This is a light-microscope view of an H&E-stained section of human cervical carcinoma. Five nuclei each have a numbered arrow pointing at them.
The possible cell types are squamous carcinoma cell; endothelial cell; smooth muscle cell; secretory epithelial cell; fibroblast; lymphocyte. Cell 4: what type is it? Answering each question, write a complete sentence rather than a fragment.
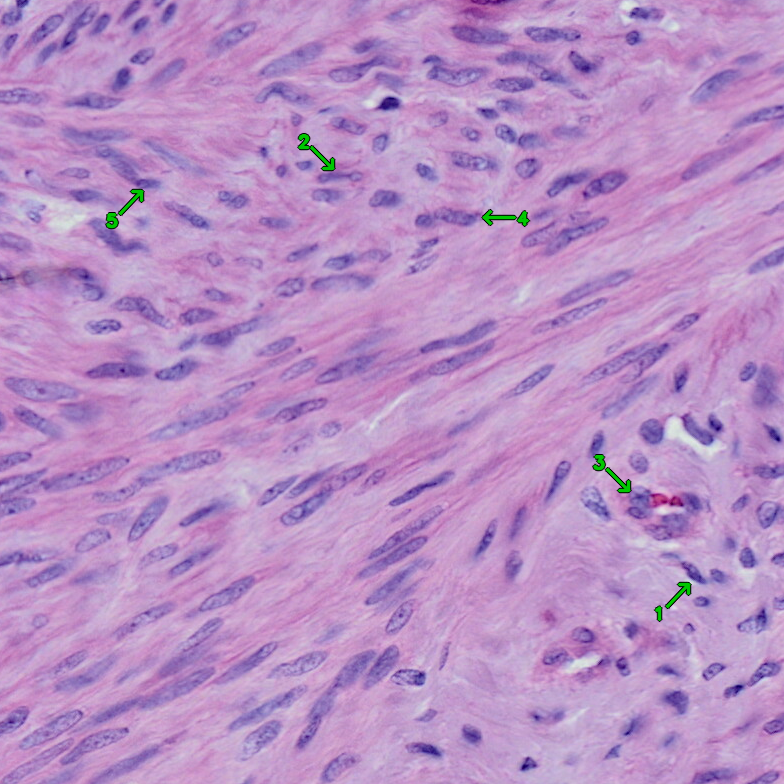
The cell identified by the number 4 is a smooth muscle cell.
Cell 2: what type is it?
Identified by the number 2, the cell is a smooth muscle cell.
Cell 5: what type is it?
The cell bearing label 5 corresponds to a smooth muscle cell.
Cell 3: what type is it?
Cell 3 in the field is an endothelial cell.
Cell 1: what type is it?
Among the marked nuclei, number 1 belongs to a fibroblast.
